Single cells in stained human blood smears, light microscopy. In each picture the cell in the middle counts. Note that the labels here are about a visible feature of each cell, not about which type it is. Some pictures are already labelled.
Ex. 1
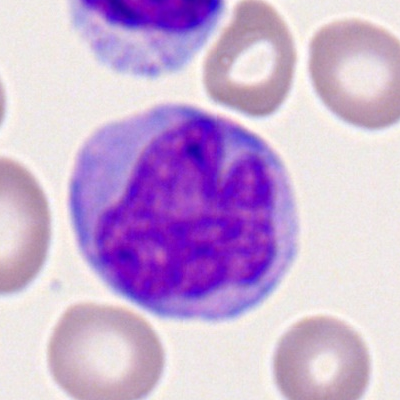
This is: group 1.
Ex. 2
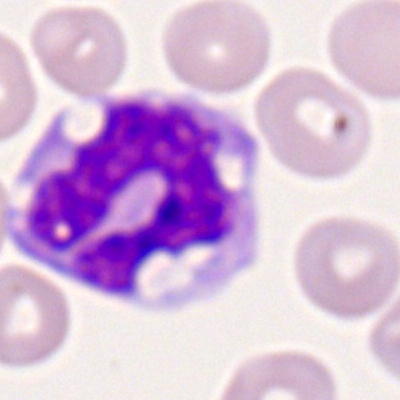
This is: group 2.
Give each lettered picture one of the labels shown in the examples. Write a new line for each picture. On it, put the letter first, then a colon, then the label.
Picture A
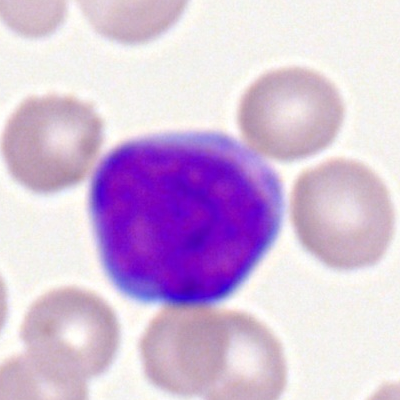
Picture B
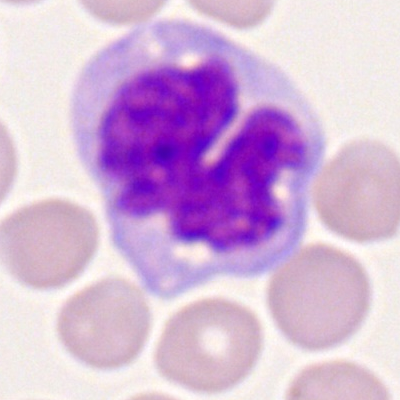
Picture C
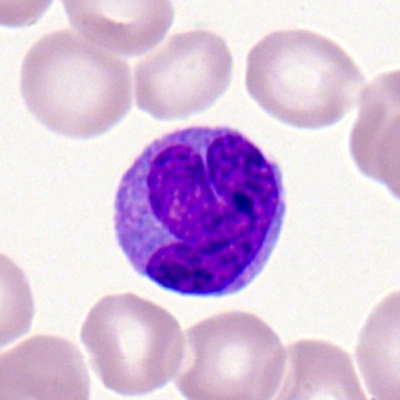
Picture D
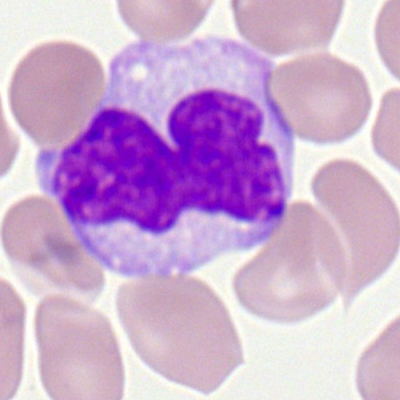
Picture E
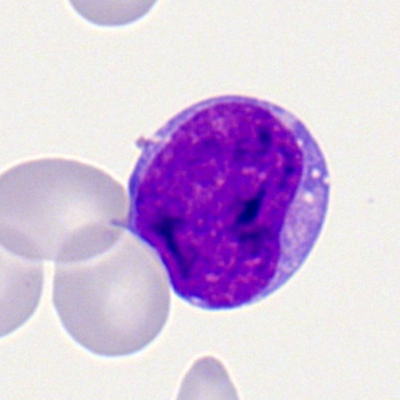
A: group 1.
B: group 2.
C: group 1.
D: group 2.
E: group 2.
